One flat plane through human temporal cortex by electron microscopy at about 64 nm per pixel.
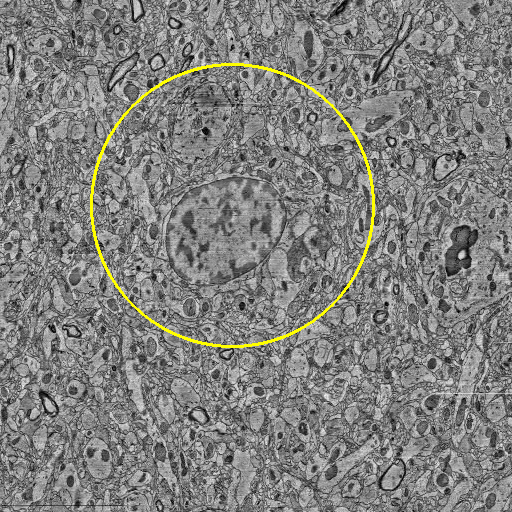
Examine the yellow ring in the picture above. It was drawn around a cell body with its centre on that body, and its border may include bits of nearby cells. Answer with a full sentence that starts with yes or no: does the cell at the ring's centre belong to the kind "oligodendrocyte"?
No, the cell at the heart of the ring shown in the image is a different kind of cell.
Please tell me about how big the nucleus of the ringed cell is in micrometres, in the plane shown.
The nucleus works out at approximately 8 by 7 micrometres in this plane.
